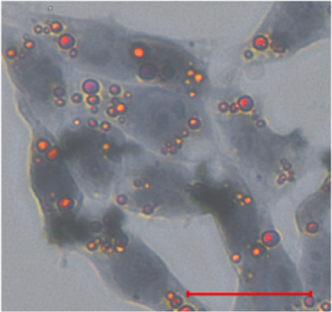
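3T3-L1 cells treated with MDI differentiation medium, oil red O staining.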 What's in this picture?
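Small round droplets stained red to orange dot the cytoplasm, many gathered toward the cell margins. A few dark, irregular clumps lie over the cells, apart from the round droplets.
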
